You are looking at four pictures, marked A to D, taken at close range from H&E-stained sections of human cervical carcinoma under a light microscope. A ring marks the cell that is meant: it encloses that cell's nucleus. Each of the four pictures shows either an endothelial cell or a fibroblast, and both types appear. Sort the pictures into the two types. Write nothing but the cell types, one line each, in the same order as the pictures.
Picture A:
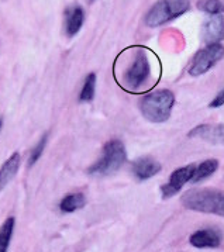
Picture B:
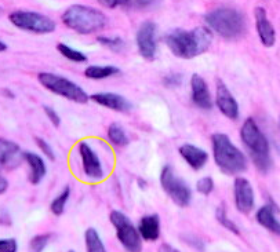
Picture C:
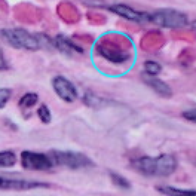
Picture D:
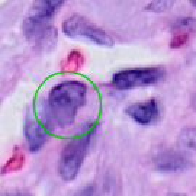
endothelial cell
fibroblast
endothelial cell
endothelial cell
